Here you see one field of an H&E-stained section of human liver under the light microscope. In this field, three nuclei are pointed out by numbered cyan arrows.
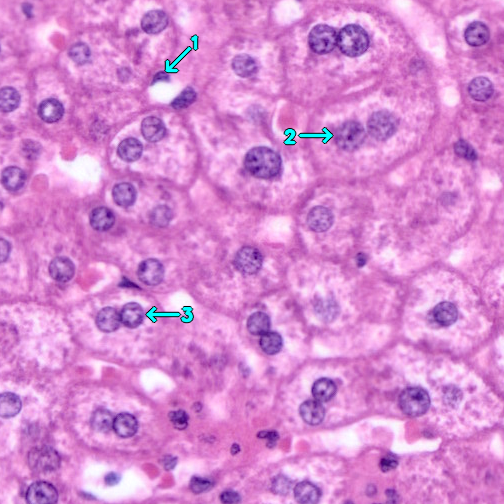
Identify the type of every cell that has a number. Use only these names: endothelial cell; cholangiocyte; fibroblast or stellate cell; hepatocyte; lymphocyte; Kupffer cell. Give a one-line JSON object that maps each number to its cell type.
{"1": "endothelial cell", "2": "hepatocyte", "3": "hepatocyte"}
